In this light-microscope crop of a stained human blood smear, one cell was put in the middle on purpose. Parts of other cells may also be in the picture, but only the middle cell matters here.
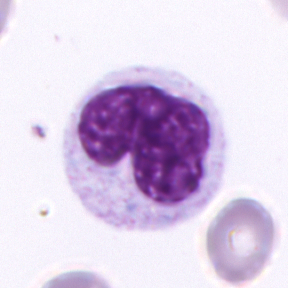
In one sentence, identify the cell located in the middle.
In this crop, the cell at the very middle is a metamyelocyte.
